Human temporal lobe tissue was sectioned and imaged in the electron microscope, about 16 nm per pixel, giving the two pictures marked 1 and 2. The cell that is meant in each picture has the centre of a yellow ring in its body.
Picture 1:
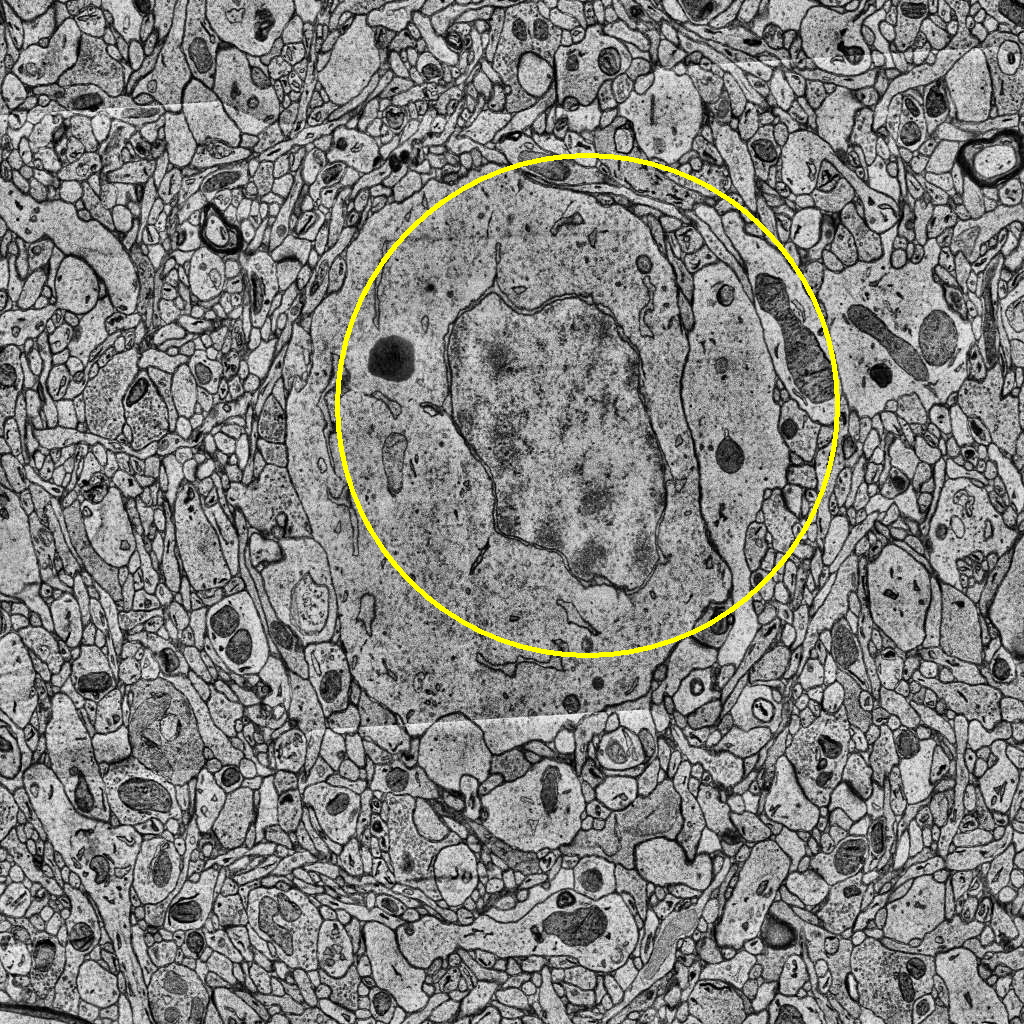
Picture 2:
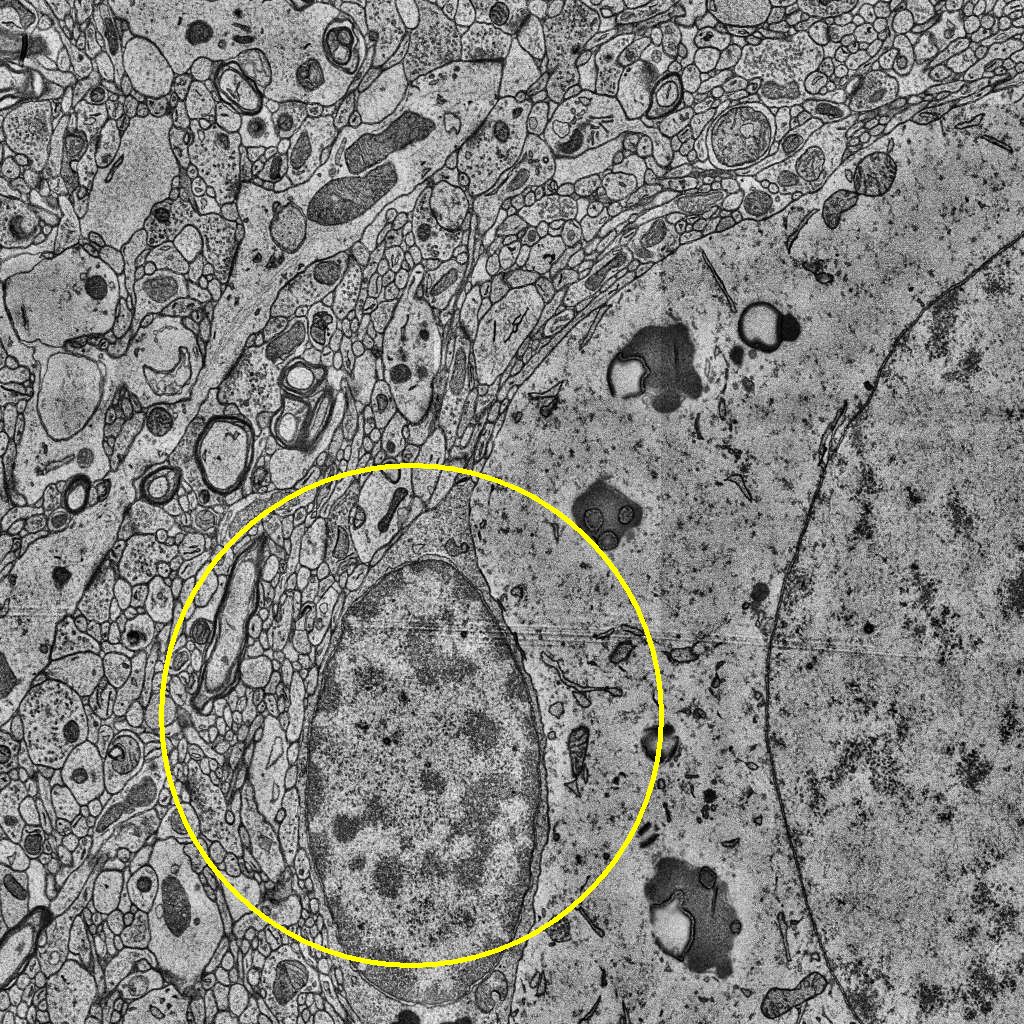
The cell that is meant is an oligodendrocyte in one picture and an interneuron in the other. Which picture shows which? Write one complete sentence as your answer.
Picture 1 is of an interneuron, and picture 2 is of an oligodendrocyte.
